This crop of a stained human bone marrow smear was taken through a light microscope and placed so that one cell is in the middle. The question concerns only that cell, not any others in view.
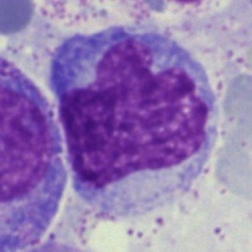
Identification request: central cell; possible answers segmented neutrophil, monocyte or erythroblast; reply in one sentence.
The central cell in this smear crop is a monocyte.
